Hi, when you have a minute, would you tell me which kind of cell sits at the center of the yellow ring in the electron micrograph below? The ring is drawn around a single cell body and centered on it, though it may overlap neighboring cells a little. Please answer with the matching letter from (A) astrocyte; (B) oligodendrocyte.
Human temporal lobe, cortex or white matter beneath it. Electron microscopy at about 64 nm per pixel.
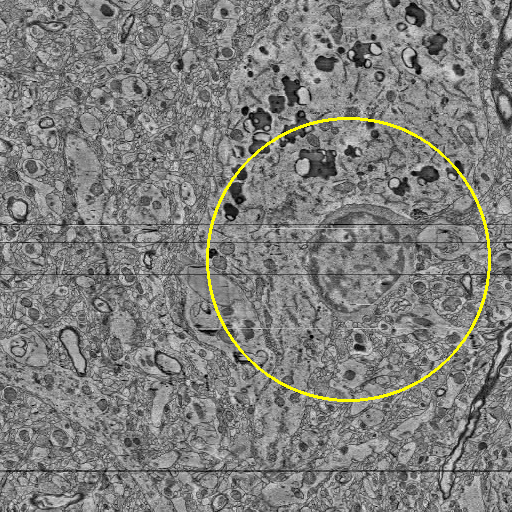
B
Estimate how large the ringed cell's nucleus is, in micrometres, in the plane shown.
The nucleus works out at approximately 7 by 6 micrometres in this plane.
